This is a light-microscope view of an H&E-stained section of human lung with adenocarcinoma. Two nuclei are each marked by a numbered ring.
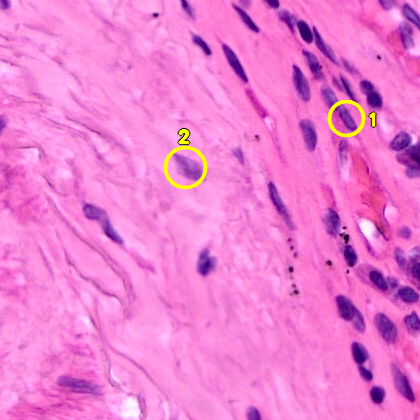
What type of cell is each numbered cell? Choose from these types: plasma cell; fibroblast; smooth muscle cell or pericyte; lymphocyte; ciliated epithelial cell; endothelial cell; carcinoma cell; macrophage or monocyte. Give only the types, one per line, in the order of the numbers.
endothelial cell
fibroblast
